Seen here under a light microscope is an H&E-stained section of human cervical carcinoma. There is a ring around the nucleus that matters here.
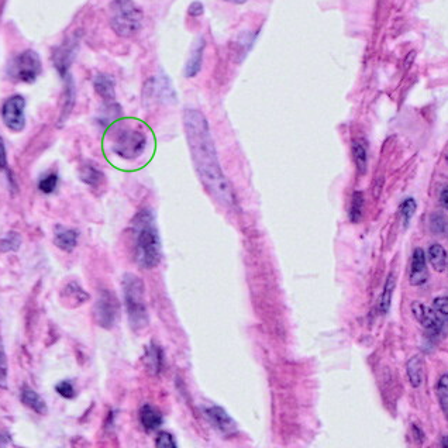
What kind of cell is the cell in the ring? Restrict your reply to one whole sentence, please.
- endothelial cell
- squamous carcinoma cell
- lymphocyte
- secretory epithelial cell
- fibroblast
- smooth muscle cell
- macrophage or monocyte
In this section, the cell in the ring is a macrophage or monocyte.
